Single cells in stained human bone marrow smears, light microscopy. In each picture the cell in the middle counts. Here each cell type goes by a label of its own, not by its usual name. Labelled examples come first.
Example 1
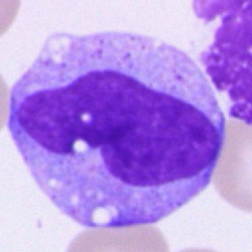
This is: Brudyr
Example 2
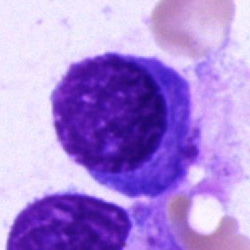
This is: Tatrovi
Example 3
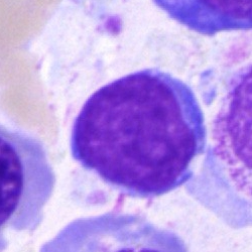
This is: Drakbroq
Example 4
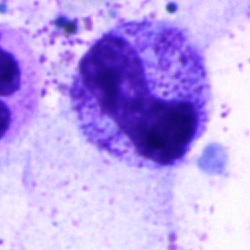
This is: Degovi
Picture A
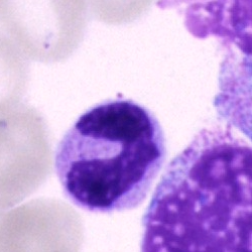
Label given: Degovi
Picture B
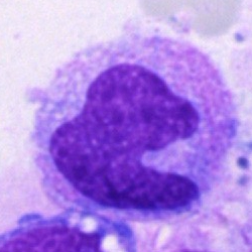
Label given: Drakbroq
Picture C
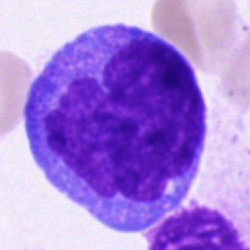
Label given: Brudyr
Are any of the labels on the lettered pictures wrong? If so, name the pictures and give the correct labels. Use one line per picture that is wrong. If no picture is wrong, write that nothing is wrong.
B is labelled Drakbroq; correct label: Brudyr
